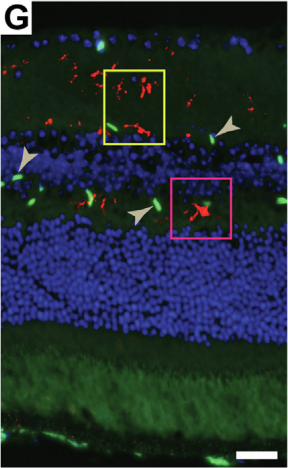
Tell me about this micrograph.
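This retinal cross-section shows a sparse top row of blue nuclei, a broad fiber layer, a band of blue nuclei, a thin fiber layer and a thick band of densely packed small nuclei, with a faint green band of photoreceptor segments below. Red cells with compact bodies and short branching processes are scattered through the broad inner fiber layer and the thin fiber layer beneath the inner nuclear band. Small elongated bright green profiles marked by pale arrowheads lie in and next to the inner nuclear band, consistent with small vessels. The branched red cells fit microglia residing in the plexiform layers. Little red is seen at the bottom edge of the retina.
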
